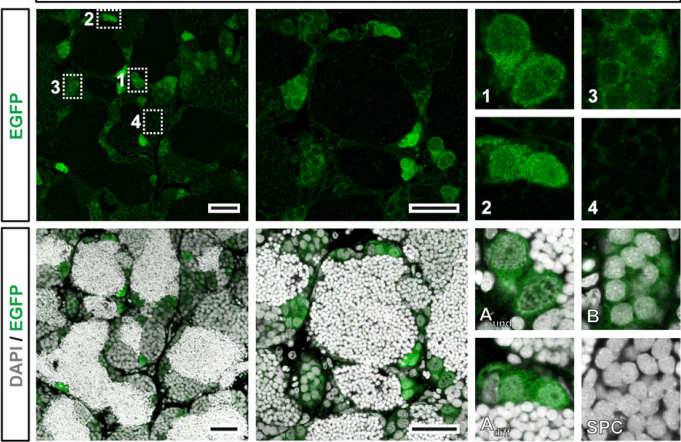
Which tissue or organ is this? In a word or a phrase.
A: testis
